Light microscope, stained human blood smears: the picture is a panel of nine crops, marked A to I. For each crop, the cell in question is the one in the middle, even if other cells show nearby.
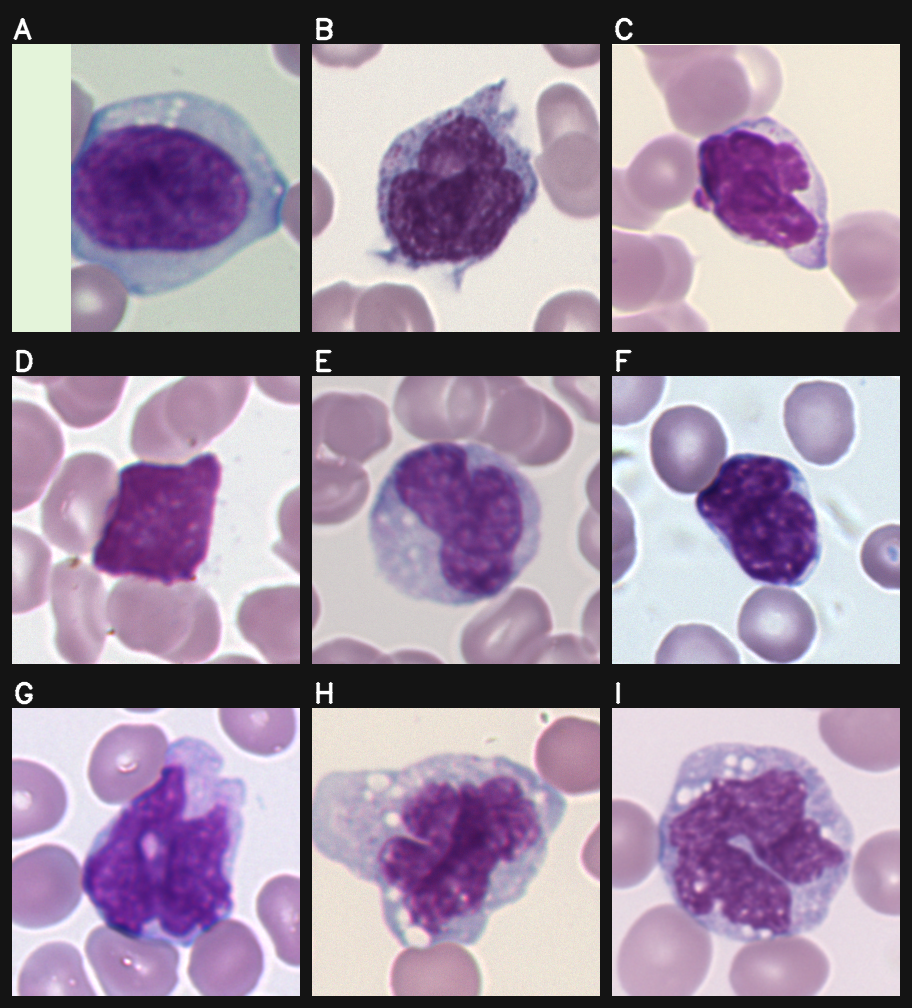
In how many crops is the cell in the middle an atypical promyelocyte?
1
